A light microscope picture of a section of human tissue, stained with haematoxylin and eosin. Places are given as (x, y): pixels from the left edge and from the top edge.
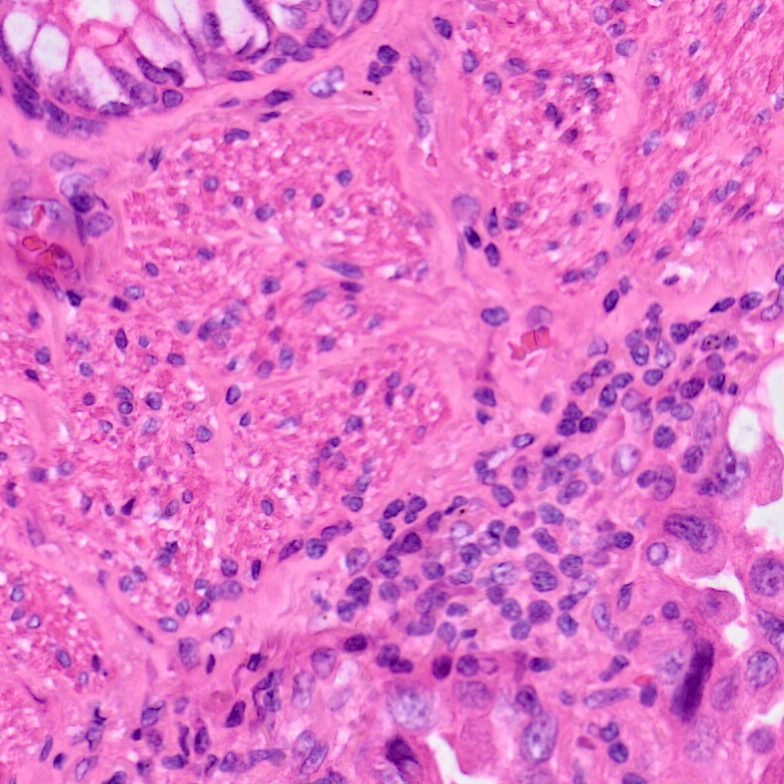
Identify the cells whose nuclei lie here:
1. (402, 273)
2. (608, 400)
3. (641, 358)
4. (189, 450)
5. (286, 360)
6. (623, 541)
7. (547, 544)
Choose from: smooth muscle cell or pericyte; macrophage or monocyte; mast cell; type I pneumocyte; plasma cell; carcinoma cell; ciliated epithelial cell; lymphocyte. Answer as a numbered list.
1. smooth muscle cell or pericyte
2. lymphocyte
3. lymphocyte
4. smooth muscle cell or pericyte
5. smooth muscle cell or pericyte
6. lymphocyte
7. lymphocyte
